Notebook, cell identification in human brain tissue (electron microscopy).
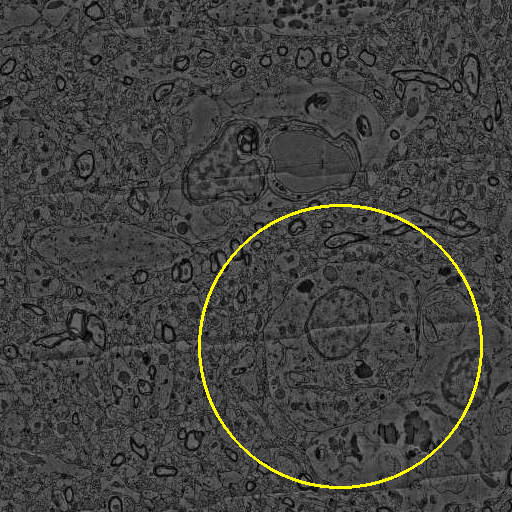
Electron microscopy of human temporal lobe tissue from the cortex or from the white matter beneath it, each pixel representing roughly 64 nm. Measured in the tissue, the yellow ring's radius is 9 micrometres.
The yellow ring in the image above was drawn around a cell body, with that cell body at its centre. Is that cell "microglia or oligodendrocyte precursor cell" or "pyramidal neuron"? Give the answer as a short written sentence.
The cell in the ring is a pyramidal neuron.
